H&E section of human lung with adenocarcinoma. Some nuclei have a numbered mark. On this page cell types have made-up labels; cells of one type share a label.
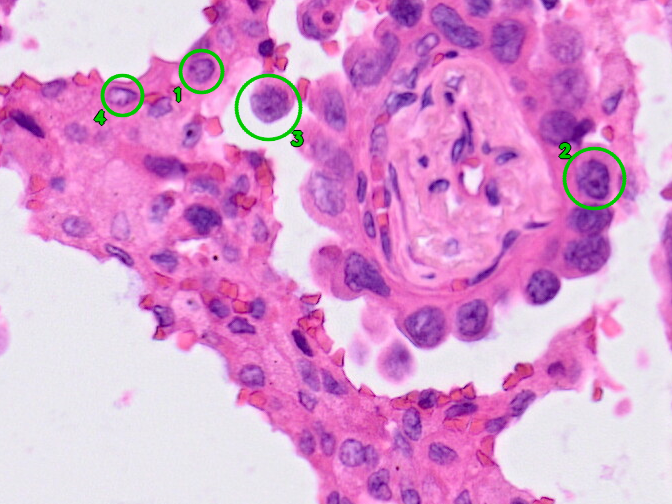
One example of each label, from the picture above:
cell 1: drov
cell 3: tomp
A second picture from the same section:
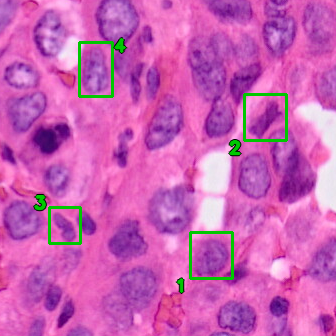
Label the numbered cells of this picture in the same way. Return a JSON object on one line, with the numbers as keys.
{"1": "tomp", "2": "tomp", "3": "drov", "4": "tomp"}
